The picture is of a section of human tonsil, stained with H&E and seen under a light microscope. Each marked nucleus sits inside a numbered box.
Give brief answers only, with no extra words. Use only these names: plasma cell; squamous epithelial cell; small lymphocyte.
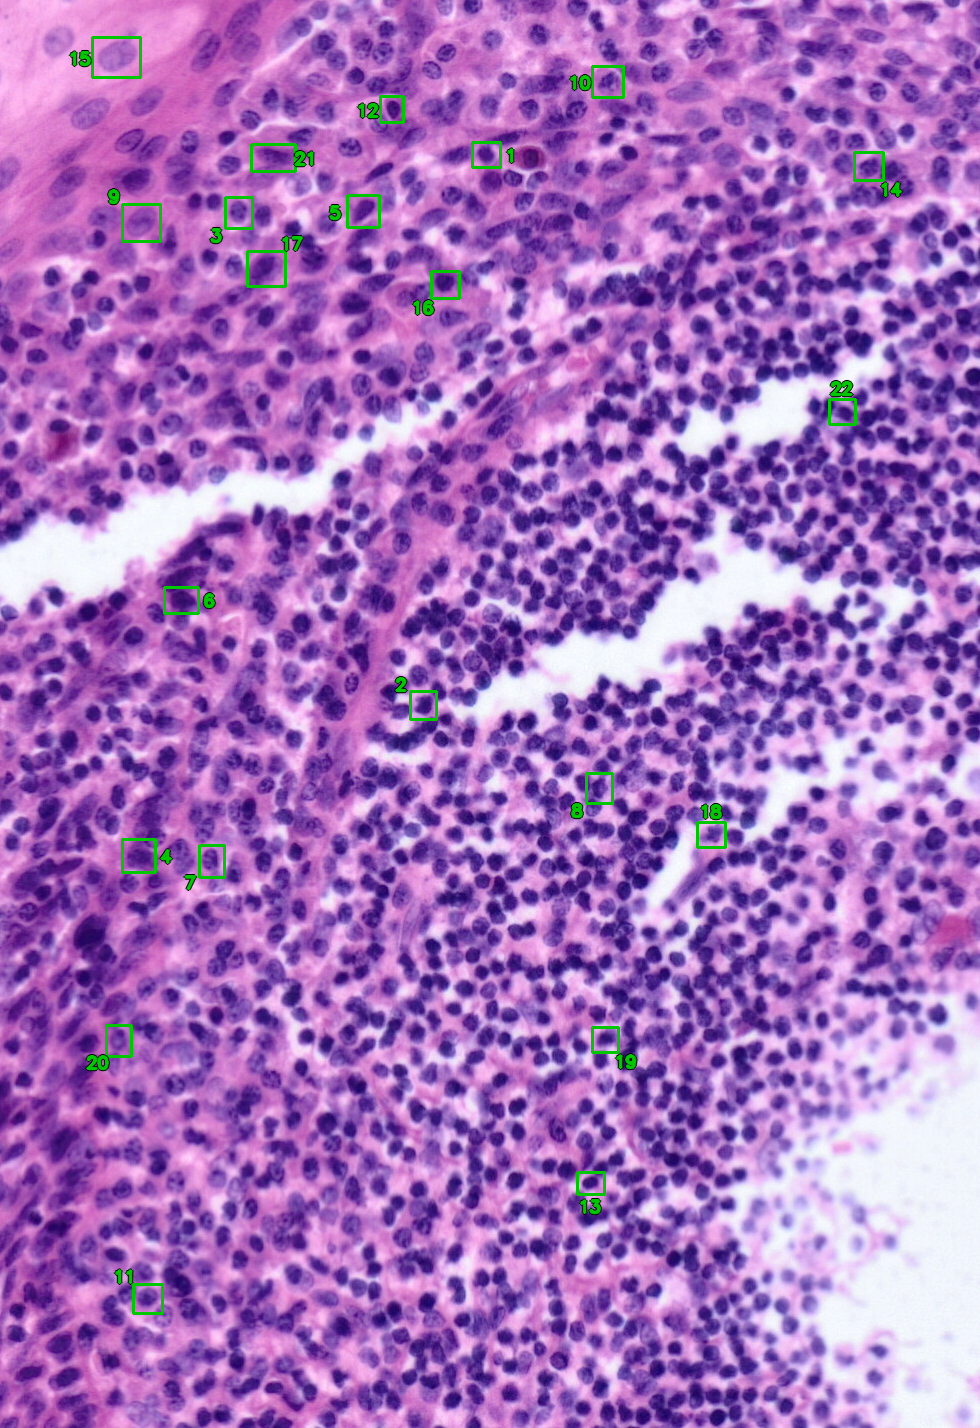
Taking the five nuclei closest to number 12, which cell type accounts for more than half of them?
squamous epithelial cell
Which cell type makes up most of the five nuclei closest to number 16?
plasma cell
